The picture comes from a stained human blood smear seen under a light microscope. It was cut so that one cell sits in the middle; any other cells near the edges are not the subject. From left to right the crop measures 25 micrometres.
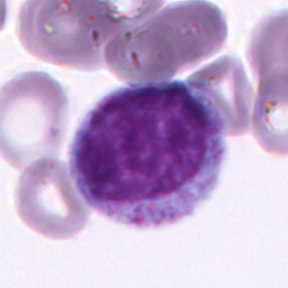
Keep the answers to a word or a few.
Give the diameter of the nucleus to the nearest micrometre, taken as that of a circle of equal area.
11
